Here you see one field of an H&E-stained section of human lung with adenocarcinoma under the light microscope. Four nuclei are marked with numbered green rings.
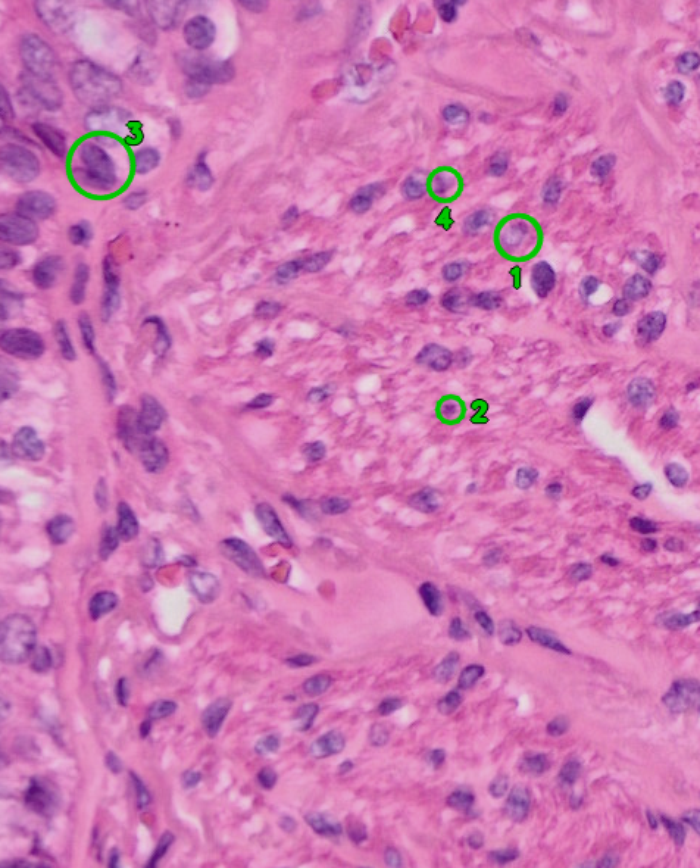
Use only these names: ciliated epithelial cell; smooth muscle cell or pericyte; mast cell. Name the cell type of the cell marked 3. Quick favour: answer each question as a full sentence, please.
The cell given label 3 is a ciliated epithelial cell.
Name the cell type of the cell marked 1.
The cell numbered 1 represents a smooth muscle cell or pericyte.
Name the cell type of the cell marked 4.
In this section, the cell numbered 4 is a smooth muscle cell or pericyte.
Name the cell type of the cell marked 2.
Here, the cell given the number 2 is a smooth muscle cell or pericyte.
